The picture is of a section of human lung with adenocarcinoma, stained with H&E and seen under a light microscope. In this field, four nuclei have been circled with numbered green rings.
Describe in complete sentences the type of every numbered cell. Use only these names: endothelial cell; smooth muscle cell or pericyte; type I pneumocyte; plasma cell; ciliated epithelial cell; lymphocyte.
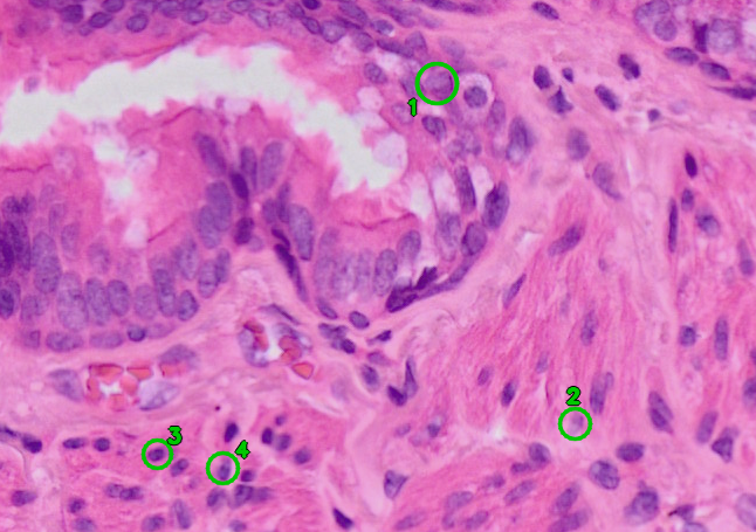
Cell 1 is a ciliated epithelial cell. Cells 2, 3 and 4 are smooth muscle cells or pericytes.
